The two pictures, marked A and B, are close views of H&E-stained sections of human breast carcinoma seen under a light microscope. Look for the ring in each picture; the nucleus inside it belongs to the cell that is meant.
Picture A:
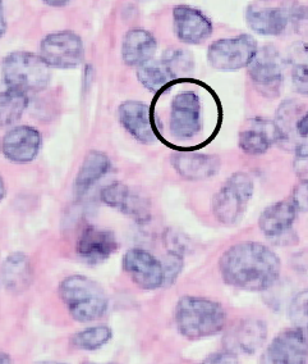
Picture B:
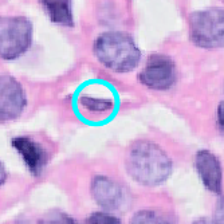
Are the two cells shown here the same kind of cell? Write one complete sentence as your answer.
No; the cell in picture A is a carcinoma cell, while the one in picture B is an endothelial cell.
